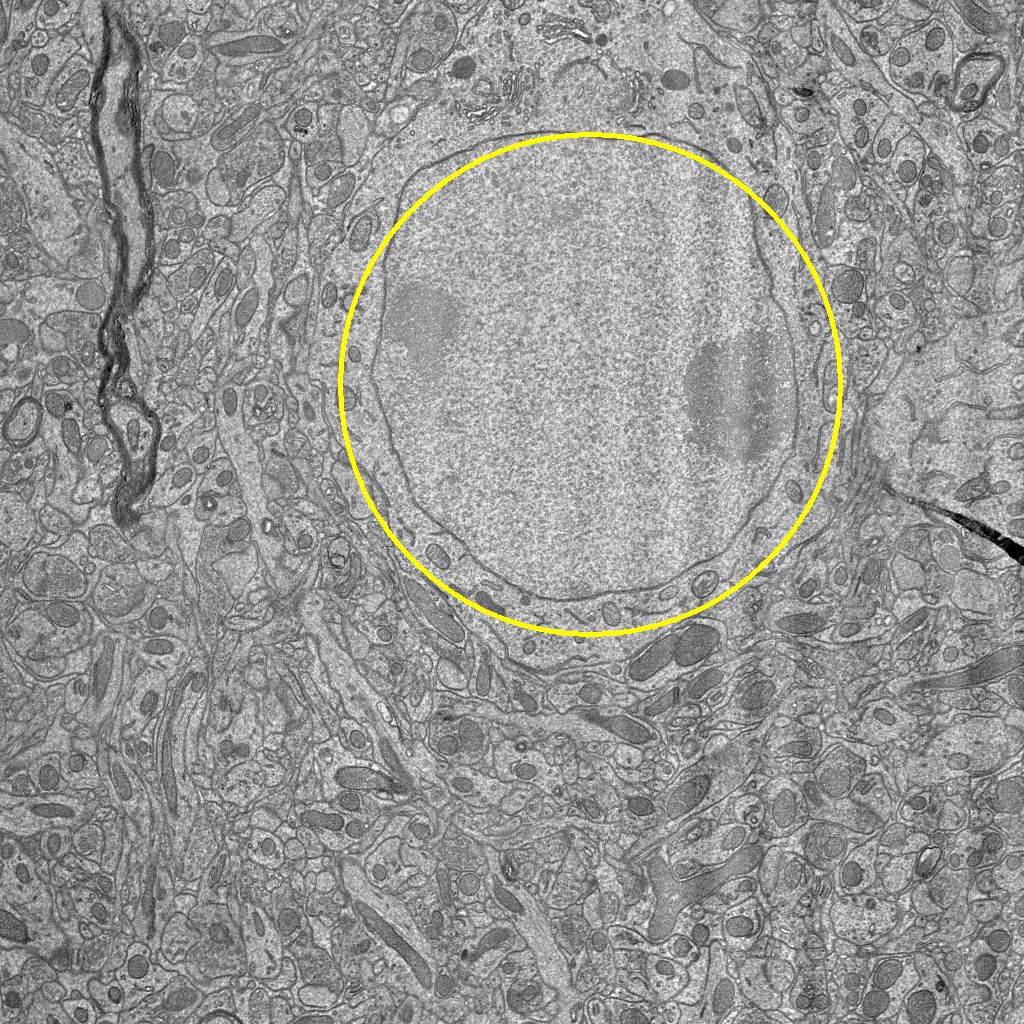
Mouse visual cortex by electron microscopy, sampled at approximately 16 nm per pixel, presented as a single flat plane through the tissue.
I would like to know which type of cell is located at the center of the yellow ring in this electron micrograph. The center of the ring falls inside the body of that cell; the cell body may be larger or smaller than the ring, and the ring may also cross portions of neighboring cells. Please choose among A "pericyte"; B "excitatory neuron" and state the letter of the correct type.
B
